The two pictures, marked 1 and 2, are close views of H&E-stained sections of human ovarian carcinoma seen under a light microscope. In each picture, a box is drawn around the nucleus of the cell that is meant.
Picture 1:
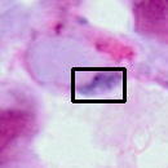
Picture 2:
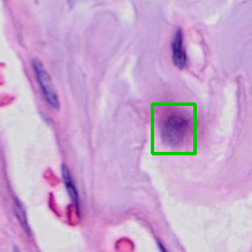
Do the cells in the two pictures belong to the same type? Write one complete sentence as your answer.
Yes, both are endothelial cells.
